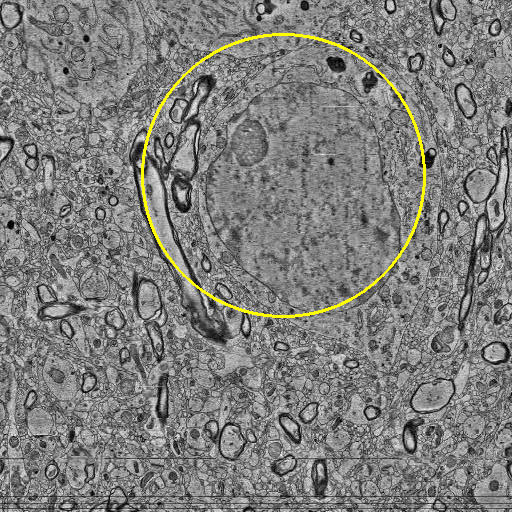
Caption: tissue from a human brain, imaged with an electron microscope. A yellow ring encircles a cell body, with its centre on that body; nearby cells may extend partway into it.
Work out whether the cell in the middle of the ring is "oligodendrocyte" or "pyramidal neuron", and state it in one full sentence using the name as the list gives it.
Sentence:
In the picture, the cell that the yellow ring surrounds at its centre is a pyramidal neuron.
